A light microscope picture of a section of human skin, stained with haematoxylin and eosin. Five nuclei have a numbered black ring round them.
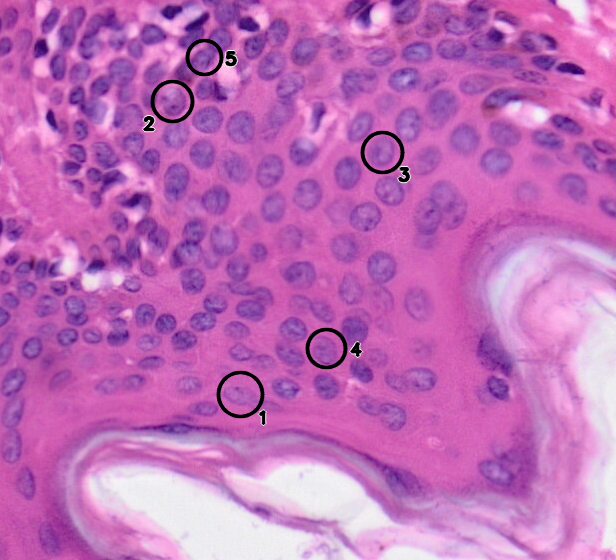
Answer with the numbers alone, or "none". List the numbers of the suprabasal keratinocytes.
1, 3, 4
